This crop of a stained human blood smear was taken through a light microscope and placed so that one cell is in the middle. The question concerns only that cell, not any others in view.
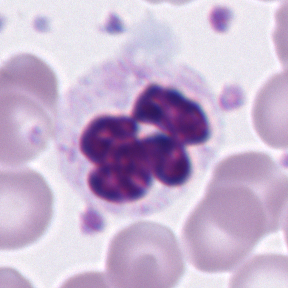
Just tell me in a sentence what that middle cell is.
The cell at the heart of this crop is a neutrophil.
